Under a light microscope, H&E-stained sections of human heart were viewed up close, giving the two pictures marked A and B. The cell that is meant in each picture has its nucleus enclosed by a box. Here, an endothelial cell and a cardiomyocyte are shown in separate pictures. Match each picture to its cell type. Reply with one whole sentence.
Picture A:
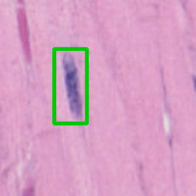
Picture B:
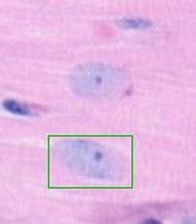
The cell in picture A is an endothelial cell, and the one in picture B is a cardiomyocyte.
